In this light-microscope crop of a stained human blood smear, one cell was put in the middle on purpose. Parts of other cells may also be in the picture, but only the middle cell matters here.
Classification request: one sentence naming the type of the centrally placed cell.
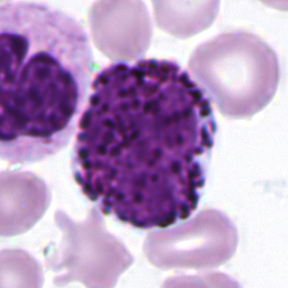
The crop shows a basophil in its centre.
